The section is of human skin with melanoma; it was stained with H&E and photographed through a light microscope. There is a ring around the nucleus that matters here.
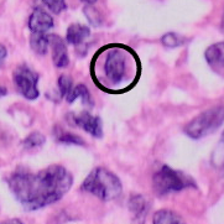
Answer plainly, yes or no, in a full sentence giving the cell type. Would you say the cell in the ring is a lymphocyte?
No, the cell in the ring is scored as a melanoma cell and not as a lymphocyte.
